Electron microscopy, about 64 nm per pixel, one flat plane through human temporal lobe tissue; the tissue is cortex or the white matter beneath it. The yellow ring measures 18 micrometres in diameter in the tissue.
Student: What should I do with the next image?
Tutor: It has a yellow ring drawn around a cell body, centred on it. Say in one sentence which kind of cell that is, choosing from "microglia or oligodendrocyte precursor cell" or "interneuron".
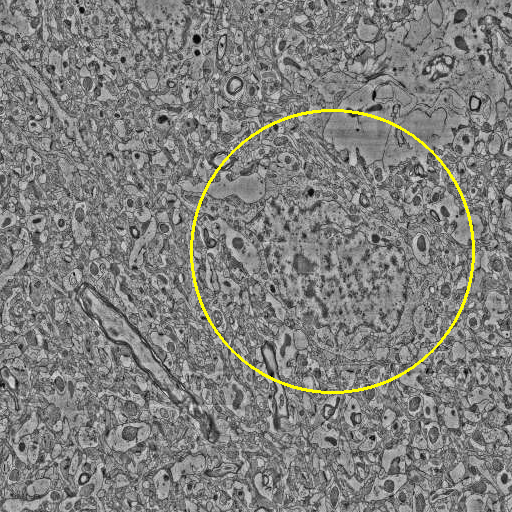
The ring's centre is occupied by an interneuron.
